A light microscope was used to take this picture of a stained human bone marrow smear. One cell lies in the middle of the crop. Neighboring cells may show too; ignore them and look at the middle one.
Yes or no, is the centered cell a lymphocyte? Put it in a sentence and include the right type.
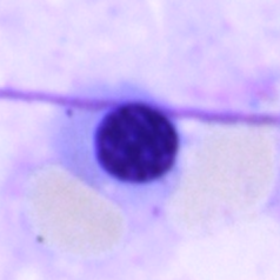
No, the central cell is not to be called a lymphocyte, being an erythroblast.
